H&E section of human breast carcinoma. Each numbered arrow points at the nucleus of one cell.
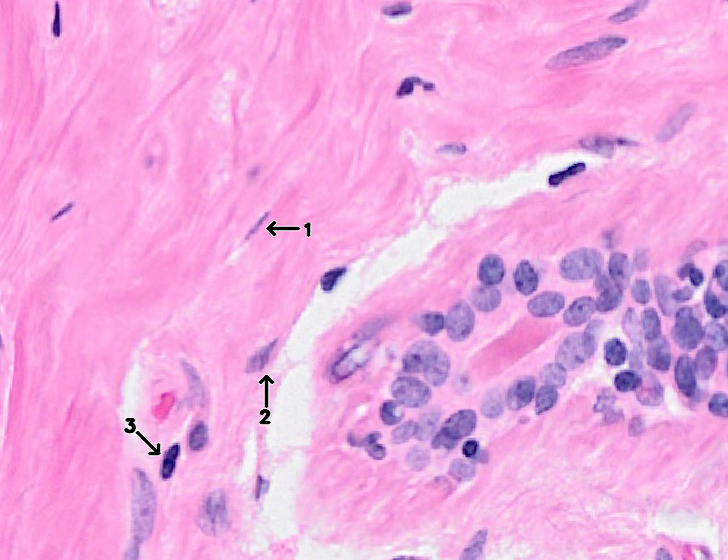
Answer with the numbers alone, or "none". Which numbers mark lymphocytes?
3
